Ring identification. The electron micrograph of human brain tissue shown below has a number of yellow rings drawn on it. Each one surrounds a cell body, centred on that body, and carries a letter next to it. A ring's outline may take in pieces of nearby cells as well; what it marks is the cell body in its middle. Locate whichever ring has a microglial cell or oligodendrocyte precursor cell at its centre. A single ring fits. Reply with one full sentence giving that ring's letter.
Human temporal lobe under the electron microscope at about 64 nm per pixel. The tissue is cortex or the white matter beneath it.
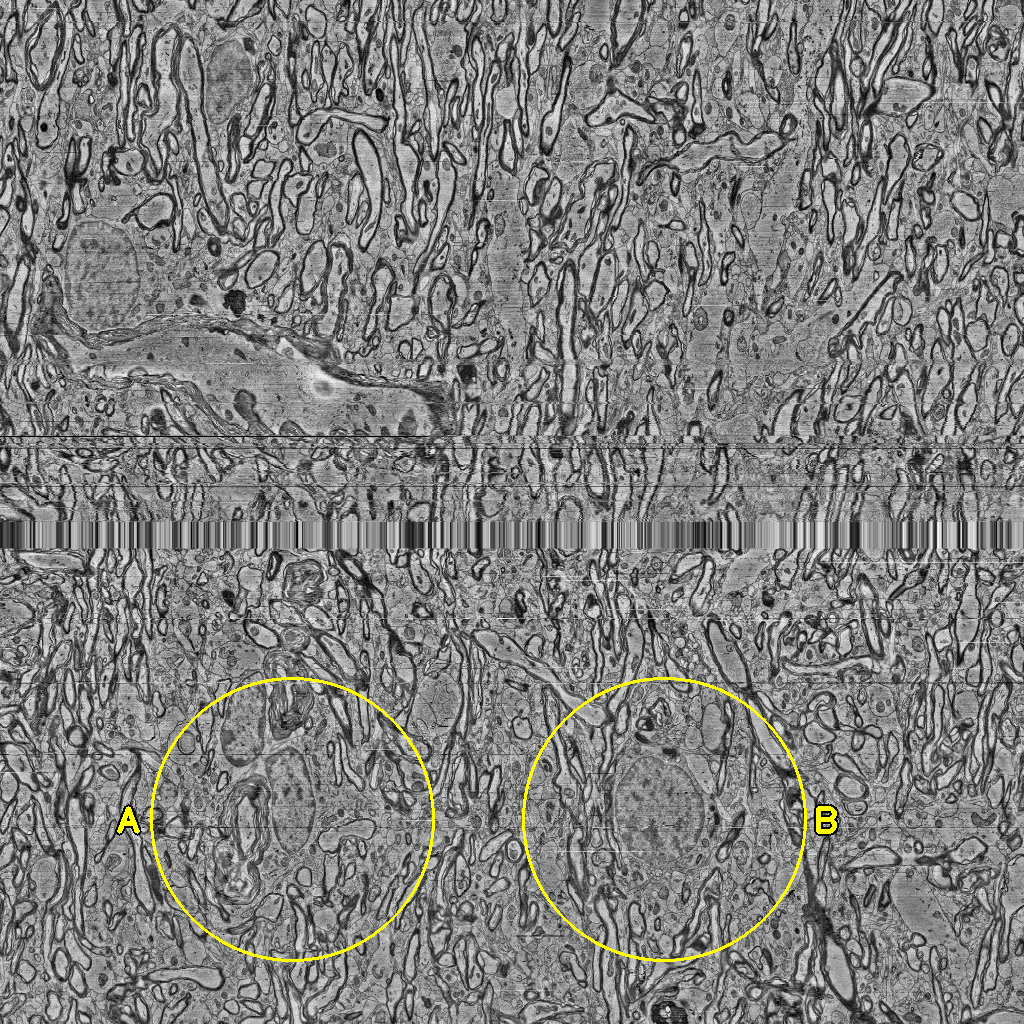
The letter A belongs to the ring centred on a cell of that kind.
